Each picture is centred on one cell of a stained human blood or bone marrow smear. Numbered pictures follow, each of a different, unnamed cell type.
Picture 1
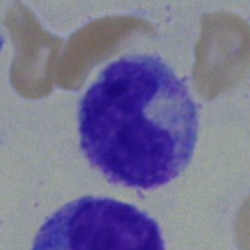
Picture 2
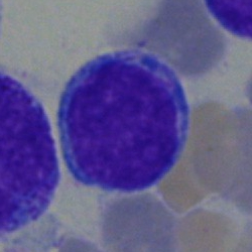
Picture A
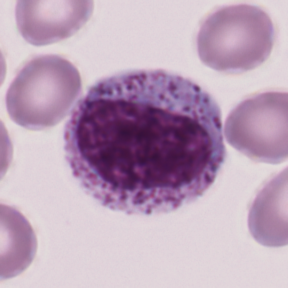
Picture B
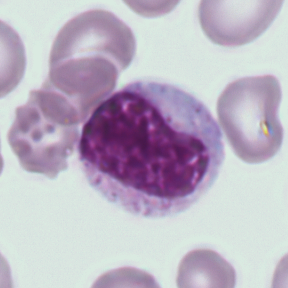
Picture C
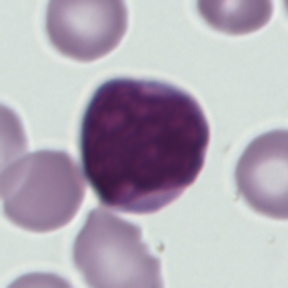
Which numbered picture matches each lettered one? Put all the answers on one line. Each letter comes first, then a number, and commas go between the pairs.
A 1, B 1, C 2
